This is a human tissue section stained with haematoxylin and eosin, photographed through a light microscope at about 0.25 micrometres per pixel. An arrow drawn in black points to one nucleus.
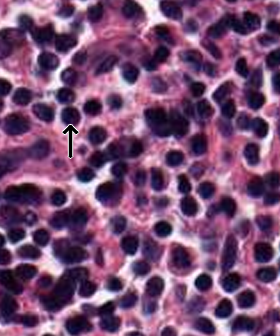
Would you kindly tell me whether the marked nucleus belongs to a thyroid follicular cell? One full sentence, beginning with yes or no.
No, a thyroid follicular cell does not own the marked nucleus, which belongs to a supporting cell.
